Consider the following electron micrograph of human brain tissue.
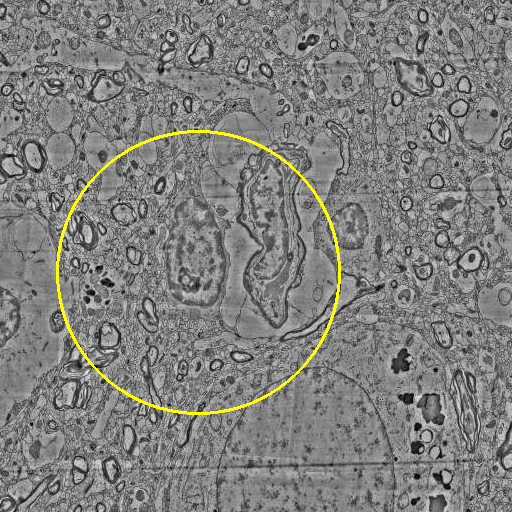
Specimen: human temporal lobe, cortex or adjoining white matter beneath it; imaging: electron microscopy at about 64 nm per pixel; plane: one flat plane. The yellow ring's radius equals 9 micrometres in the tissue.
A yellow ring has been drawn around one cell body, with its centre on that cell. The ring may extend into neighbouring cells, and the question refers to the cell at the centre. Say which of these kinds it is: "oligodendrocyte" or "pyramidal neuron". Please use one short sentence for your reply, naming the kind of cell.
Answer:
The centre of the ring falls on an oligodendrocyte.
